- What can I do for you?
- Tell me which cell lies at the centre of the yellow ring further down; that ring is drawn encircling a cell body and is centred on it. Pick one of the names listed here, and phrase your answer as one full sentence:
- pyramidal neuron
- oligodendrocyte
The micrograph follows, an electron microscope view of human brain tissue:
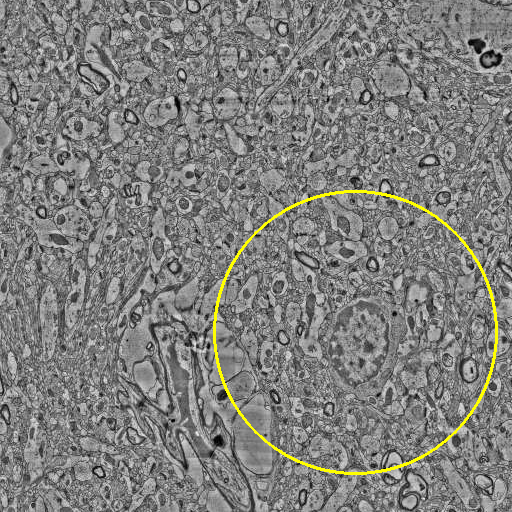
The cell whose body lies at the centre of the yellow ring is an oligodendrocyte.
